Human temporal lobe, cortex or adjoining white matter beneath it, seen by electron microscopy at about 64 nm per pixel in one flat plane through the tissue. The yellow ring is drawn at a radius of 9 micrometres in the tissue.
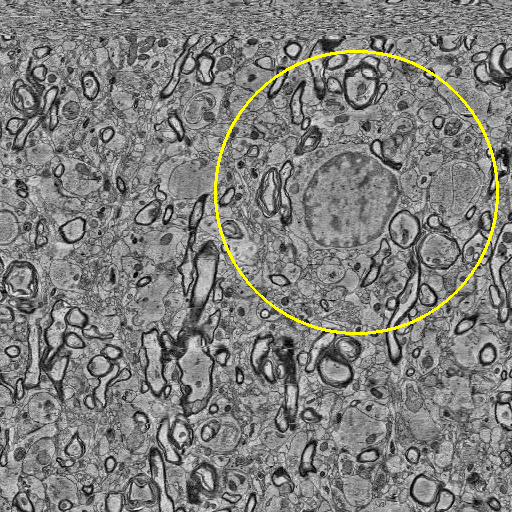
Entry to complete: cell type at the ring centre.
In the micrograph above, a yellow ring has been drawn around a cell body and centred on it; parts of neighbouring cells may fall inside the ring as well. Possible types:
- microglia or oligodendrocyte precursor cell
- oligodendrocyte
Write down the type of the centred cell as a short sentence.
The ring is centred on an oligodendrocyte.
